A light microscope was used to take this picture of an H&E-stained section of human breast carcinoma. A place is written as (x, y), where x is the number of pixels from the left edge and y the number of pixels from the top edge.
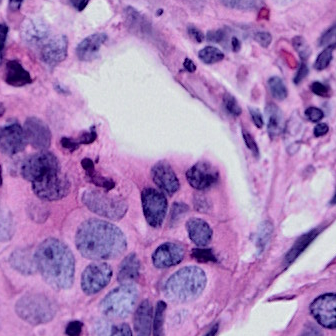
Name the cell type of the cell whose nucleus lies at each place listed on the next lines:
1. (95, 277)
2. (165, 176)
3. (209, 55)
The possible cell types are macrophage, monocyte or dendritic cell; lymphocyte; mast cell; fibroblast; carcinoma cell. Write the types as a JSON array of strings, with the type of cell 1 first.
["carcinoma cell", "carcinoma cell", "lymphocyte"]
